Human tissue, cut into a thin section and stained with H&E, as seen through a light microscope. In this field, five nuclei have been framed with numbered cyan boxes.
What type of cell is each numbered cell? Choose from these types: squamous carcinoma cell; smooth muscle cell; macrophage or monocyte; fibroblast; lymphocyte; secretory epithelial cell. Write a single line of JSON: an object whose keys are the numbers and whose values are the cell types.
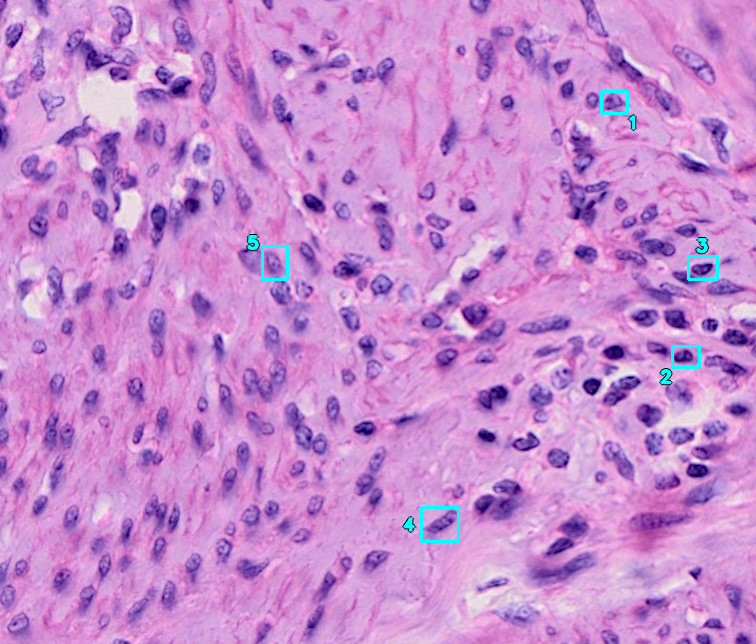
{"1": "smooth muscle cell", "2": "lymphocyte", "3": "lymphocyte", "4": "fibroblast", "5": "smooth muscle cell"}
